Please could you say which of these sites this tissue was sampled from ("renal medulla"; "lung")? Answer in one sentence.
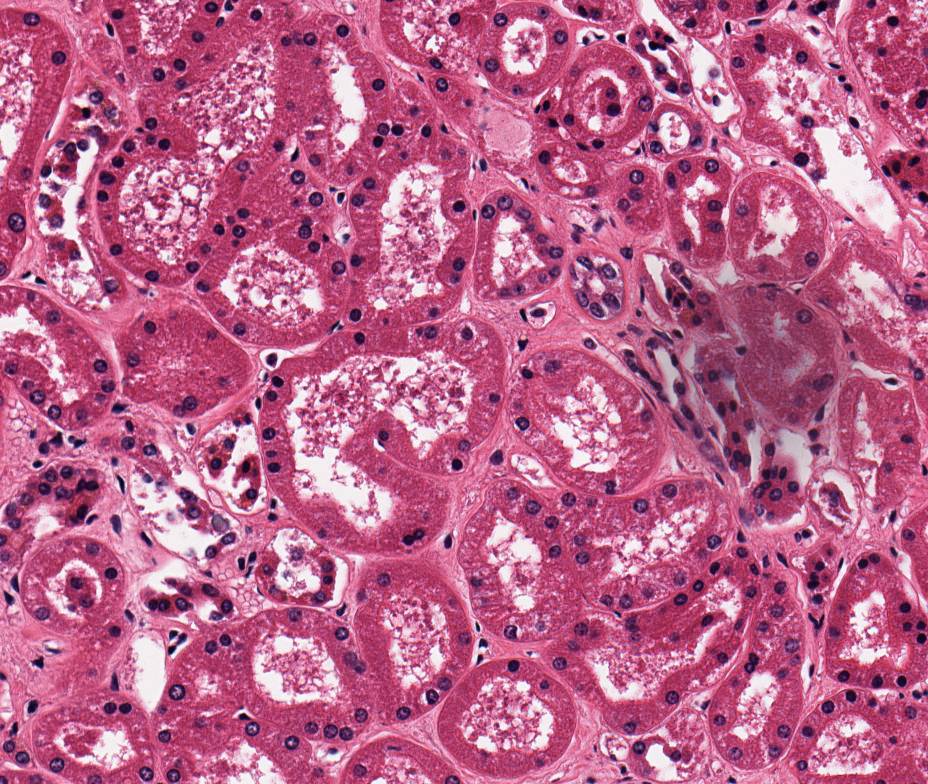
The site this tissue was sampled from is the renal medulla.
